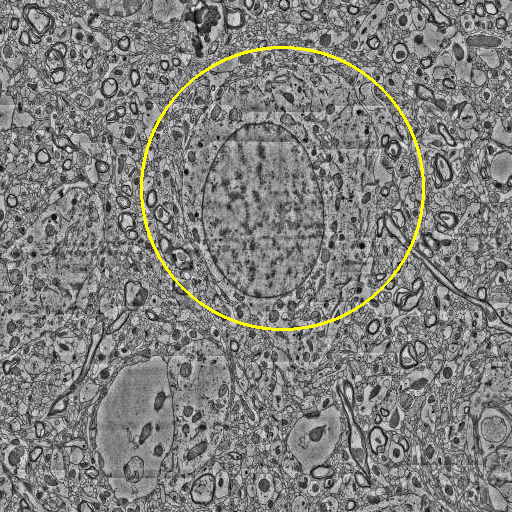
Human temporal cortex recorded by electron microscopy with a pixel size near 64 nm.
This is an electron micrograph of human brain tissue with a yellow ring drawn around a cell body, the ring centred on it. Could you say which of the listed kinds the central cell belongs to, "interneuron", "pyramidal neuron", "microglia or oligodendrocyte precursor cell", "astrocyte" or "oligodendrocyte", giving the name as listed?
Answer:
interneuron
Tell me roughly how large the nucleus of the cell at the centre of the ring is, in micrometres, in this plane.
In this plane, the nucleus is roughly 11 by 8 micrometres.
